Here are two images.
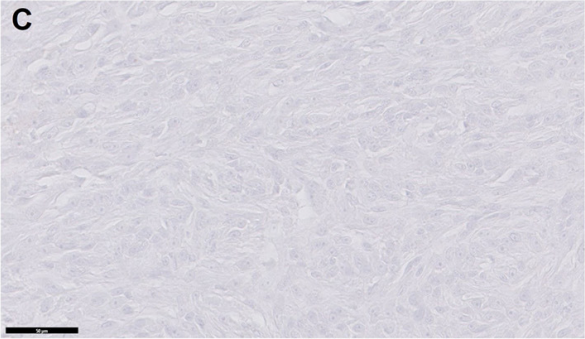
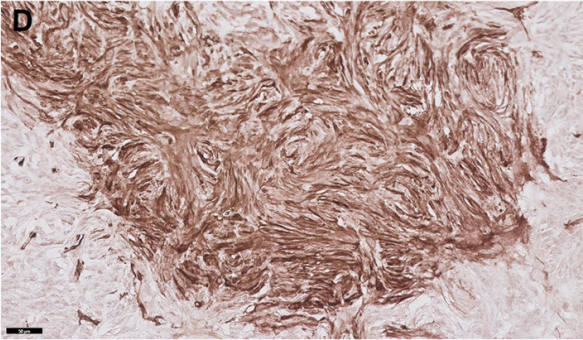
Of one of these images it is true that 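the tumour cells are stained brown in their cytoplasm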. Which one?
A: The second image.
